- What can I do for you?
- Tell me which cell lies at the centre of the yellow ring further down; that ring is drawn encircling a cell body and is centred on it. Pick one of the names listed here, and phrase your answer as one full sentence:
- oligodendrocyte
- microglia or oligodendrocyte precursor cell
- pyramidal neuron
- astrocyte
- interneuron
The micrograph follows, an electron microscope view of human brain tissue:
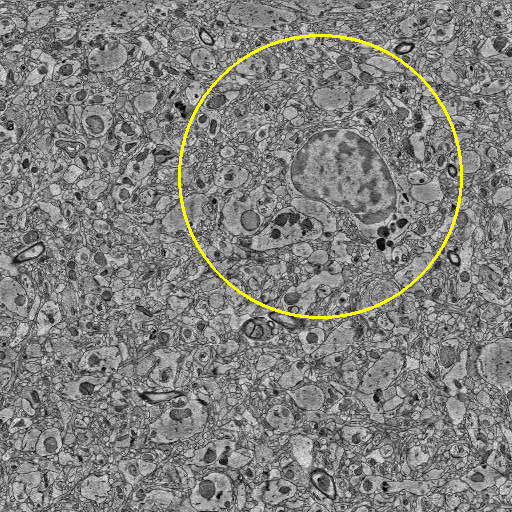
The cell whose body lies at the centre of the yellow ring is a microglial cell or oligodendrocyte precursor cell.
